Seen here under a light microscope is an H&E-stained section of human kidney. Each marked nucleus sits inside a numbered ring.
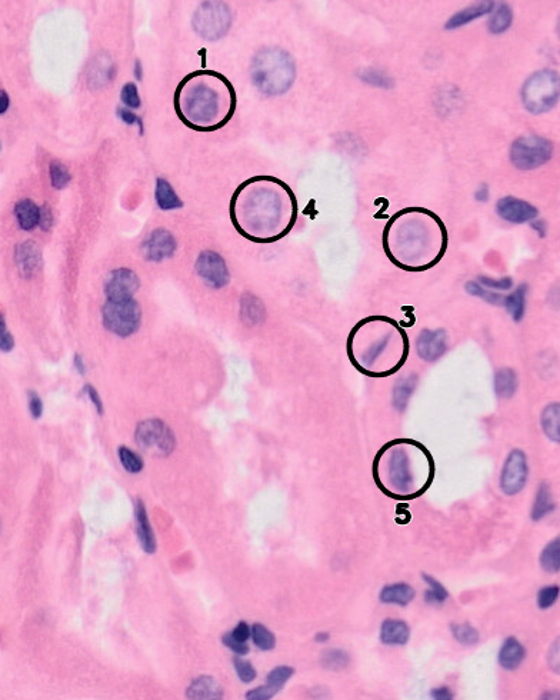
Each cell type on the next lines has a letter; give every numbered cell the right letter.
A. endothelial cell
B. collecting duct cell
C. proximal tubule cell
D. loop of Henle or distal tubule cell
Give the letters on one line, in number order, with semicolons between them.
C; C; A; C; D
